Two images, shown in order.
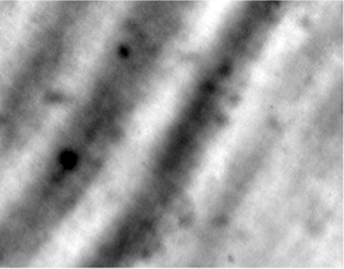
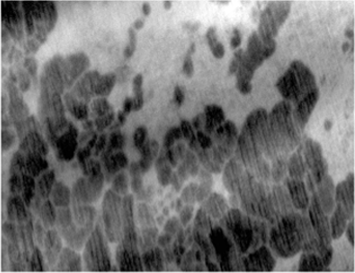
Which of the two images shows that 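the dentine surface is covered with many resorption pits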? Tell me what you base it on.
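The second image. First image: a largely smooth surface with broad diffuse bands and only one or two small dark spots. Second image: numerous dark rounded and merging depressions over much of the field.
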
